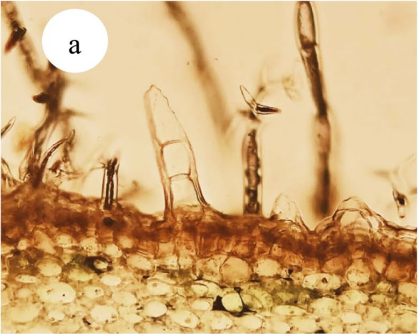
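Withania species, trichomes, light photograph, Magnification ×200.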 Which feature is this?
Simple uniseriate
